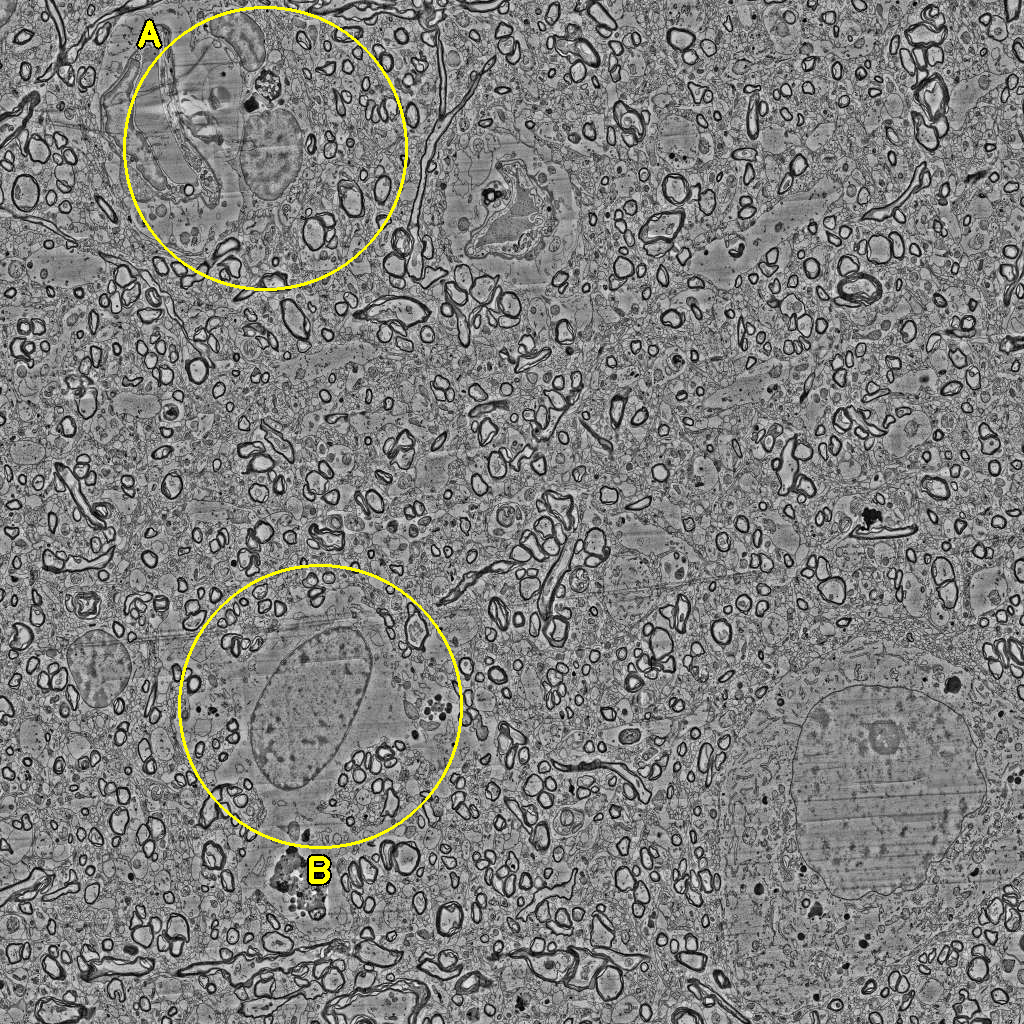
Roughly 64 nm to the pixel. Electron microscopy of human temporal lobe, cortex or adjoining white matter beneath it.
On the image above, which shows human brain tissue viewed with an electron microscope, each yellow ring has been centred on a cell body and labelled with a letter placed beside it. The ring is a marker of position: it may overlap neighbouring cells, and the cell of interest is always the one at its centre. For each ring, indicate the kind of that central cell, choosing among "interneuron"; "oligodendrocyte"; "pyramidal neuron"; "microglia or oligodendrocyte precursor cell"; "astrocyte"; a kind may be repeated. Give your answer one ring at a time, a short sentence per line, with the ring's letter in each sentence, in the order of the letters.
Ring A shows a microglial cell or oligodendrocyte precursor cell at its centre.
Ring B shows an astrocyte at its centre.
